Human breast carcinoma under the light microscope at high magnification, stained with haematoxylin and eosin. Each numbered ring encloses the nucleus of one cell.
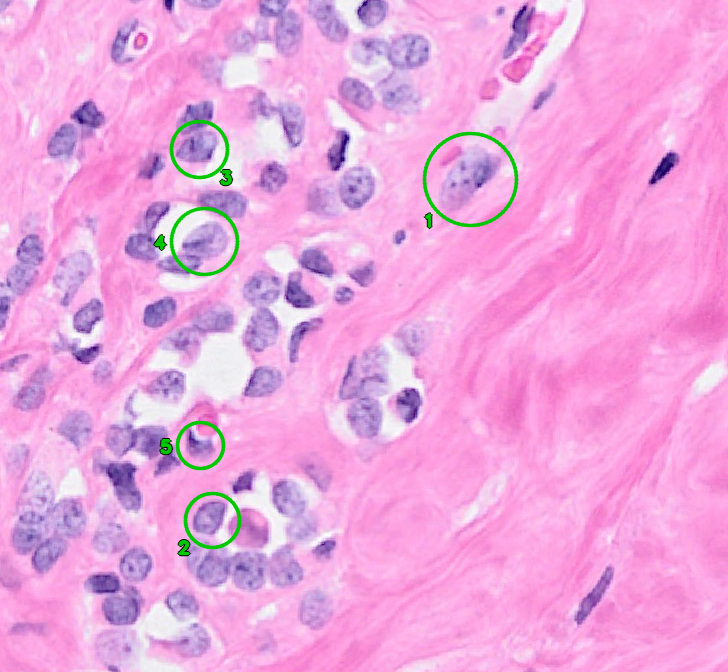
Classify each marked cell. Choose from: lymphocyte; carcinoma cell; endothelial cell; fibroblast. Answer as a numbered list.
1. endothelial cell
2. carcinoma cell
3. carcinoma cell
4. carcinoma cell
5. endothelial cell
